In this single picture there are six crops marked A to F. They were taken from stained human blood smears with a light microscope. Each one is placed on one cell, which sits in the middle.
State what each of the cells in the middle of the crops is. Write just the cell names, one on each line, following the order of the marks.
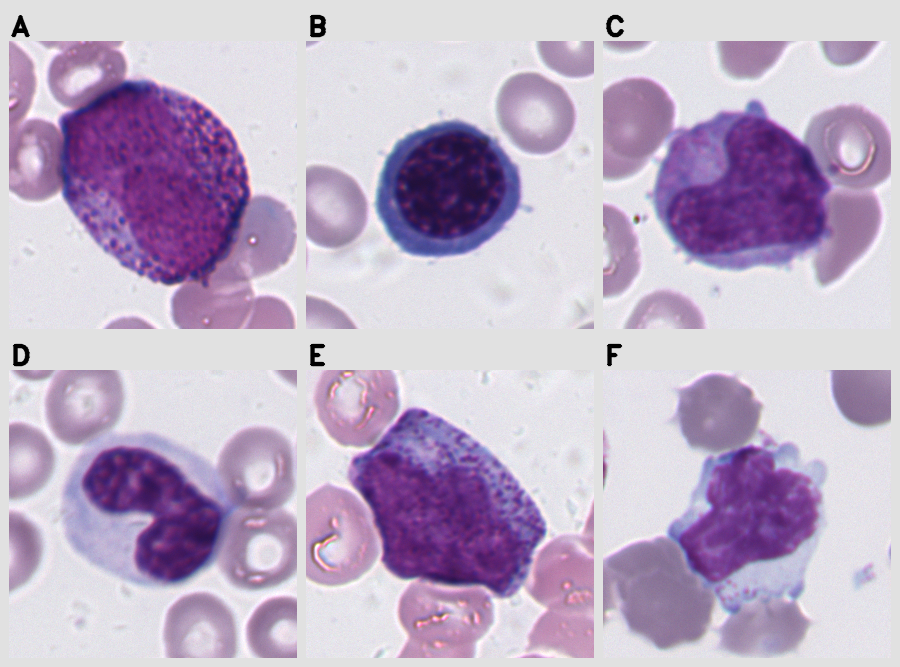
promyelocyte
normoblast
atypical promyelocyte
band neutrophil
promyelocyte
large granular lymphocyte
